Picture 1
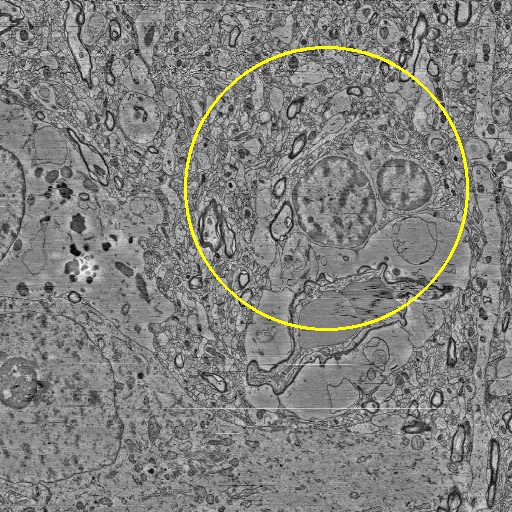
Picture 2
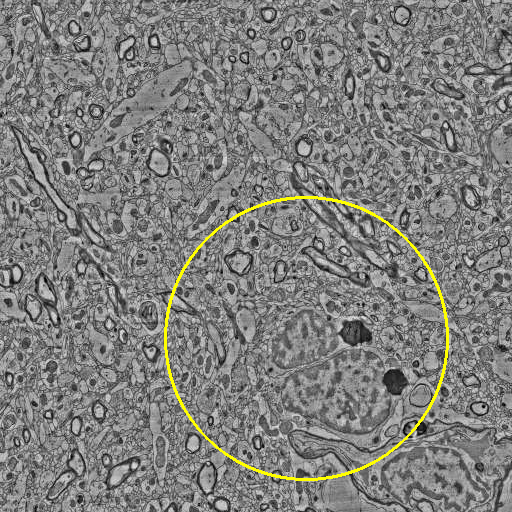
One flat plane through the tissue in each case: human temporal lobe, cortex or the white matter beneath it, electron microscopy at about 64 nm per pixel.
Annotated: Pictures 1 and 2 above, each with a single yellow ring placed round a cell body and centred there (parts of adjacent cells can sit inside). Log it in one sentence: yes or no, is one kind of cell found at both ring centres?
Yes, the ring centres of the two pictures hold cells of one kind.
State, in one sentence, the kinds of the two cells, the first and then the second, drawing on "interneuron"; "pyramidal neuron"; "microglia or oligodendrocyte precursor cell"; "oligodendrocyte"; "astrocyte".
In the first picture and in the second, the ring is centred on an oligodendrocyte.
